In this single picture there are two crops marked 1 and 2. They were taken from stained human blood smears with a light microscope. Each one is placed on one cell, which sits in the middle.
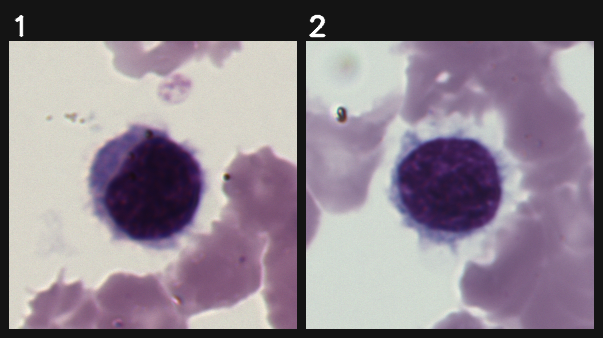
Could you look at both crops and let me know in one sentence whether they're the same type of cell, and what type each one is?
Yes, the central cells, in both crops, are hairy cells.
